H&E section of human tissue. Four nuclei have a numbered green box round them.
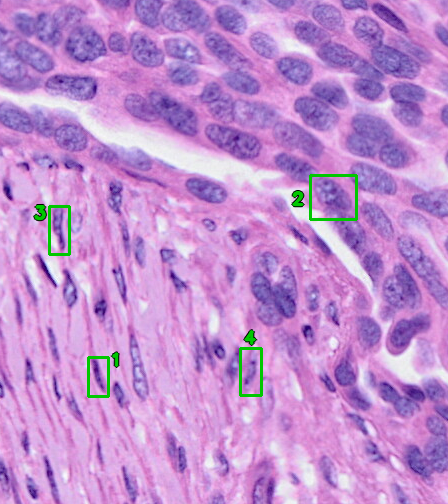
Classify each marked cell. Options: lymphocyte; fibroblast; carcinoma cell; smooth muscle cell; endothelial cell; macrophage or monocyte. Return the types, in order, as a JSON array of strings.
["fibroblast", "carcinoma cell", "fibroblast", "fibroblast"]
